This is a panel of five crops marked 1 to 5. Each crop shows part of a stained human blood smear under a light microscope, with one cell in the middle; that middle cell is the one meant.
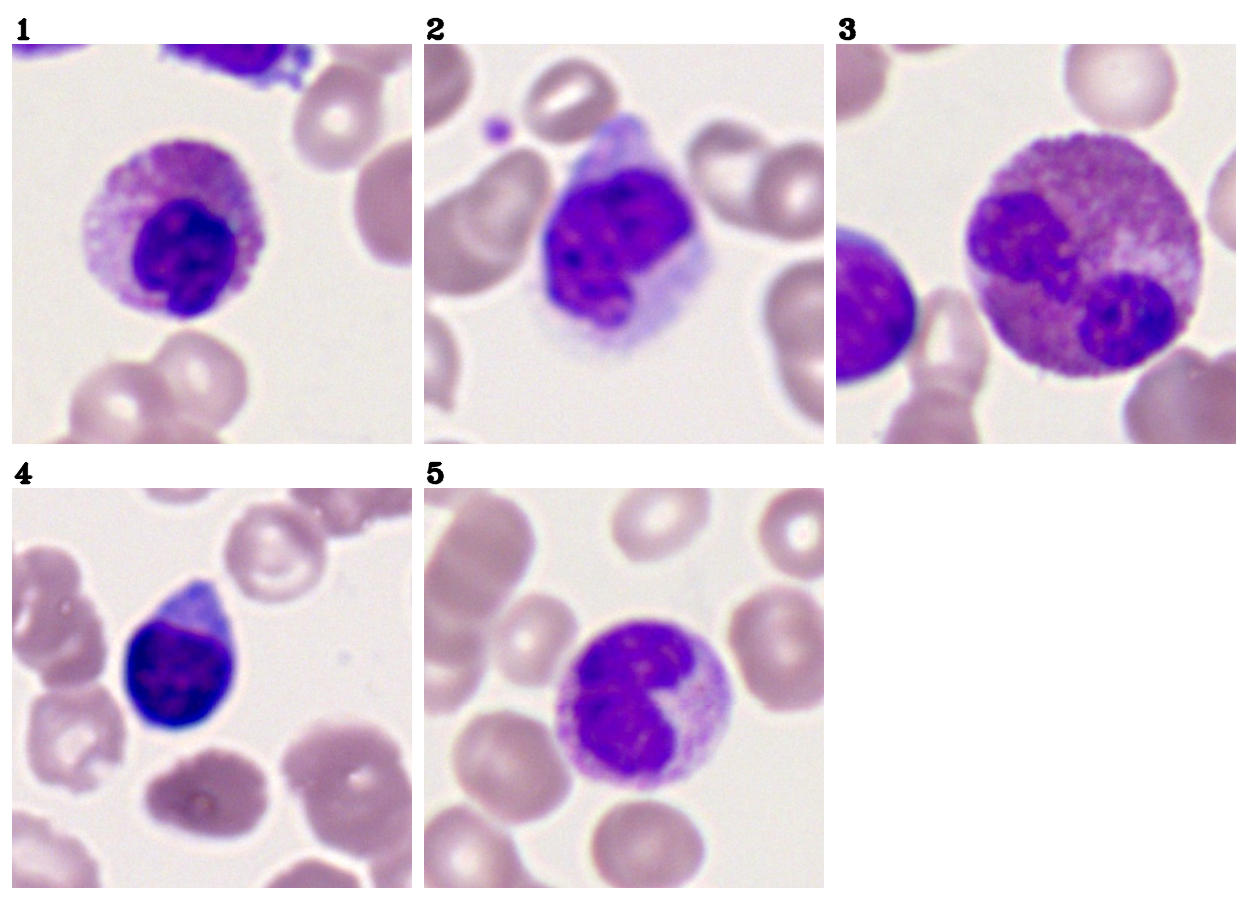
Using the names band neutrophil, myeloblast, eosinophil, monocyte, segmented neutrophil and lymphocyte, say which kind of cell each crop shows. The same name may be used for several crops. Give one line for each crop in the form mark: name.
1: eosinophil
2: monocyte
3: eosinophil
4: lymphocyte
5: band neutrophil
